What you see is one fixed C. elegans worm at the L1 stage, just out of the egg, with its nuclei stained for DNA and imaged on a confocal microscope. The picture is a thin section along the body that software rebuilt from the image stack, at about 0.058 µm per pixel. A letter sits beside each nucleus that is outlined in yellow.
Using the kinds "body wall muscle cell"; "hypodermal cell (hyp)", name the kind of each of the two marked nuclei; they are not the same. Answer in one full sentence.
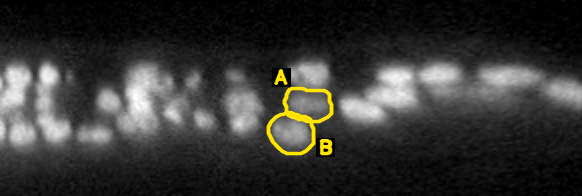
Nucleus A comes from a hypodermal cell (hyp) and nucleus B from a body wall muscle cell.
